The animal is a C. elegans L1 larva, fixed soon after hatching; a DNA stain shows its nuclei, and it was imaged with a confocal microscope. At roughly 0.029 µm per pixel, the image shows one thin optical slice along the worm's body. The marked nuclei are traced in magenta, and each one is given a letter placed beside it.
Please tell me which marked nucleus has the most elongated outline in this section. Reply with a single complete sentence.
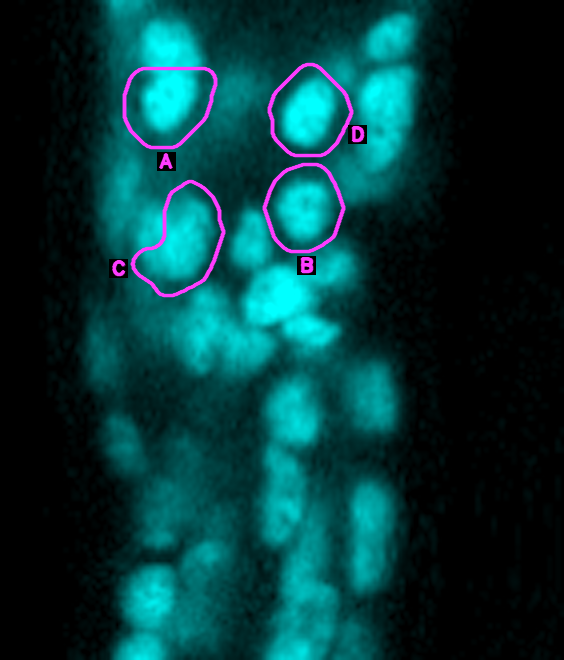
C is the most elongated in this section.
